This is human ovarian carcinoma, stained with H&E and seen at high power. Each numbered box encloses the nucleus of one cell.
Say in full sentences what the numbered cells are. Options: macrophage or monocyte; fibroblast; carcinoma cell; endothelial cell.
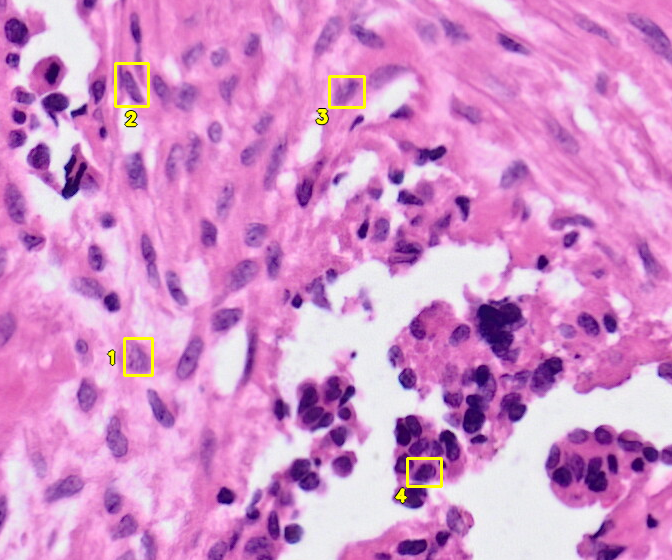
Cell 1 is a fibroblast, cell 2 is a fibroblast, cell 3 is a fibroblast and cell 4 is a carcinoma cell.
